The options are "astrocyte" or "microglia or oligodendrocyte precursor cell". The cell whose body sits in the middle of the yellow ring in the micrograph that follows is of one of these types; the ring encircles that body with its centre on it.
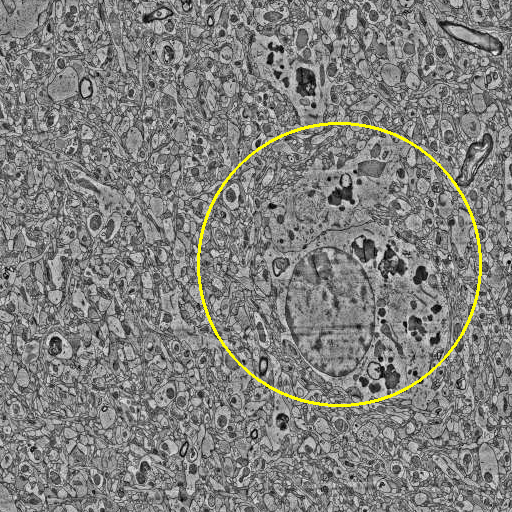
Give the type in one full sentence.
Going by the micrograph, the cell centred in the yellow ring is an astrocyte.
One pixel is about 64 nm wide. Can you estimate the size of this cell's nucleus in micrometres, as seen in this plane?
Approximately 8 by 6 micrometers in this plane.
